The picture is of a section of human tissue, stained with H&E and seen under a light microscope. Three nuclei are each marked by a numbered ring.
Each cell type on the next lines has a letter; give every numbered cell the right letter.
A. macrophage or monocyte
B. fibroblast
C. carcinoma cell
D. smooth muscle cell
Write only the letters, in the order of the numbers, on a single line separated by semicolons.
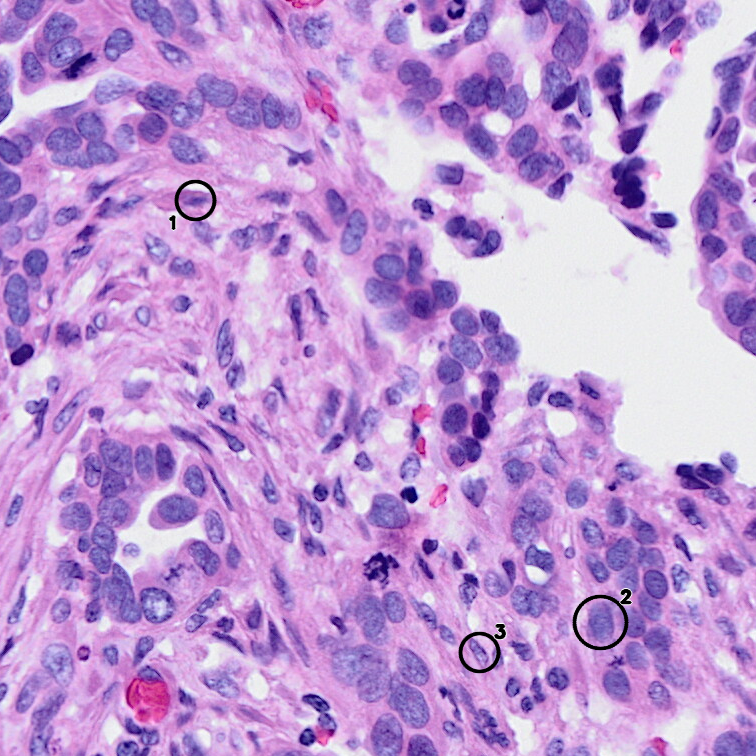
B; C; B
